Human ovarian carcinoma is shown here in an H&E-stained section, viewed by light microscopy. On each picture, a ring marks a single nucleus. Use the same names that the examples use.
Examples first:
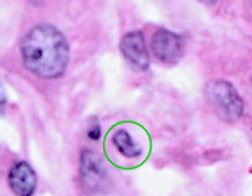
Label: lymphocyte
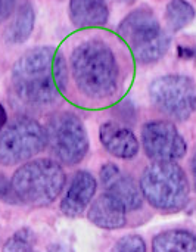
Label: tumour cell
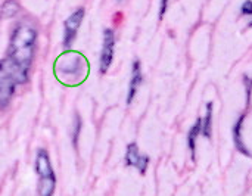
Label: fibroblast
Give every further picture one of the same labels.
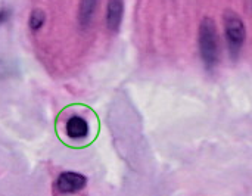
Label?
lymphocyte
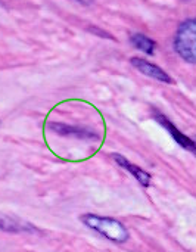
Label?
fibroblast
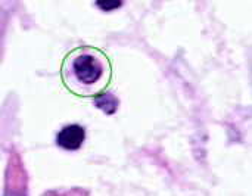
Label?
lymphocyte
